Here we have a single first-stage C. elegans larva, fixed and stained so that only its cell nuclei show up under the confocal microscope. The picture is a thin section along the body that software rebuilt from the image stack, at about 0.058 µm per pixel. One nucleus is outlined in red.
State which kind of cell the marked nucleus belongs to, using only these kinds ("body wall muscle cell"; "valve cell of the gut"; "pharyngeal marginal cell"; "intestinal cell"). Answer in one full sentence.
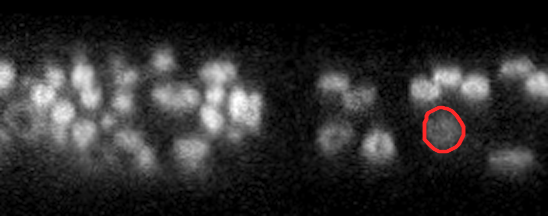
The marked nucleus belongs to an intestinal cell.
